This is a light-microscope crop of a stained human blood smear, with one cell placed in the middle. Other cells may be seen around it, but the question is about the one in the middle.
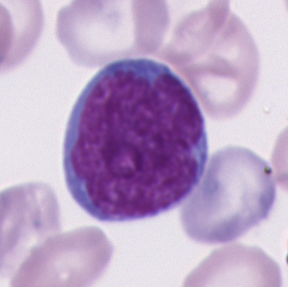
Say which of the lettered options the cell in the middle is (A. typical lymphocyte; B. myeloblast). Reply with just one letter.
B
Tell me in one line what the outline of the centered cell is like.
Happy to help: the outline is smooth and shows no projections.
